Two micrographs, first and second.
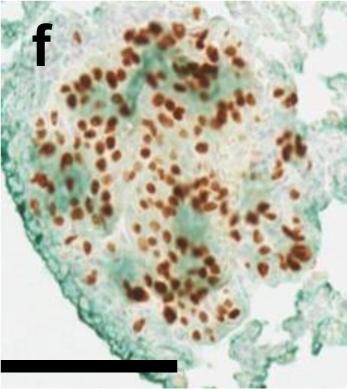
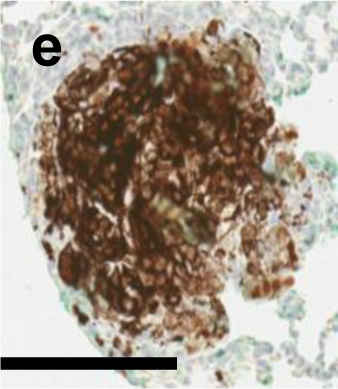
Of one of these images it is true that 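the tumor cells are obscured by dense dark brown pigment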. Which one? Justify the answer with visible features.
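The second image. First image: discrete brown nuclei stand out against a pale green background. Second image: the nodule is almost uniformly dark brown, with individual nuclei hard to make out.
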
